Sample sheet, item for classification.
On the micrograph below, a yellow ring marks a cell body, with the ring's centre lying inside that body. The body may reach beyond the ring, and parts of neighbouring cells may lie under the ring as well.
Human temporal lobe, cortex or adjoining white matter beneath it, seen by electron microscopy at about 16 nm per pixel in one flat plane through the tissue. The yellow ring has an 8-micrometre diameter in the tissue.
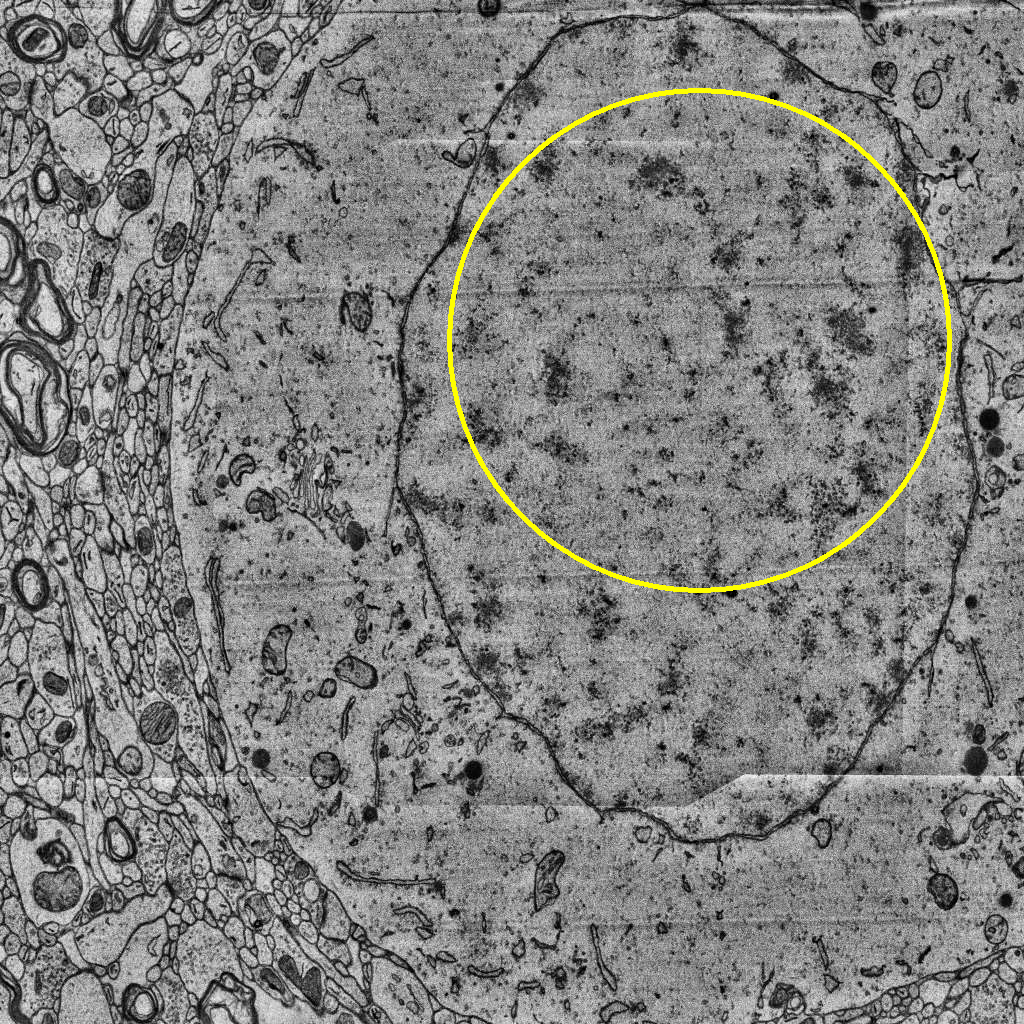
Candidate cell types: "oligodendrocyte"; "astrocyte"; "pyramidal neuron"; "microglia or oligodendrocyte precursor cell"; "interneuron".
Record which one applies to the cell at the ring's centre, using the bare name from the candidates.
pyramidal neuron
